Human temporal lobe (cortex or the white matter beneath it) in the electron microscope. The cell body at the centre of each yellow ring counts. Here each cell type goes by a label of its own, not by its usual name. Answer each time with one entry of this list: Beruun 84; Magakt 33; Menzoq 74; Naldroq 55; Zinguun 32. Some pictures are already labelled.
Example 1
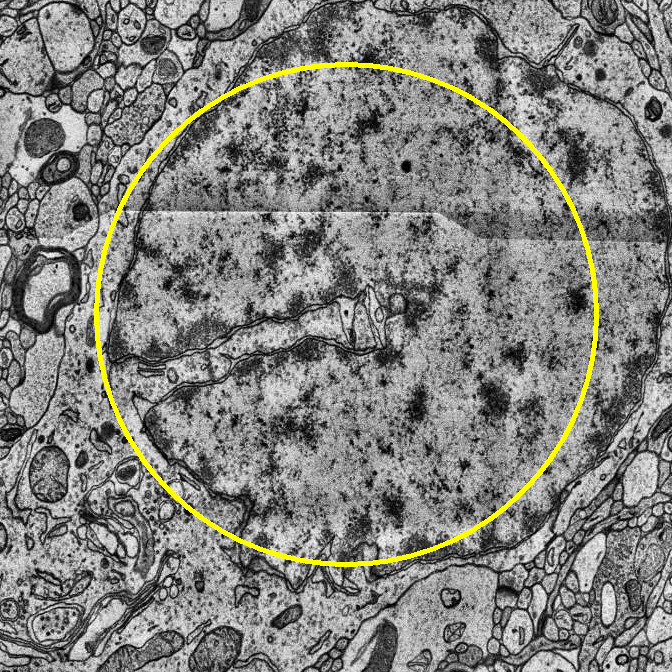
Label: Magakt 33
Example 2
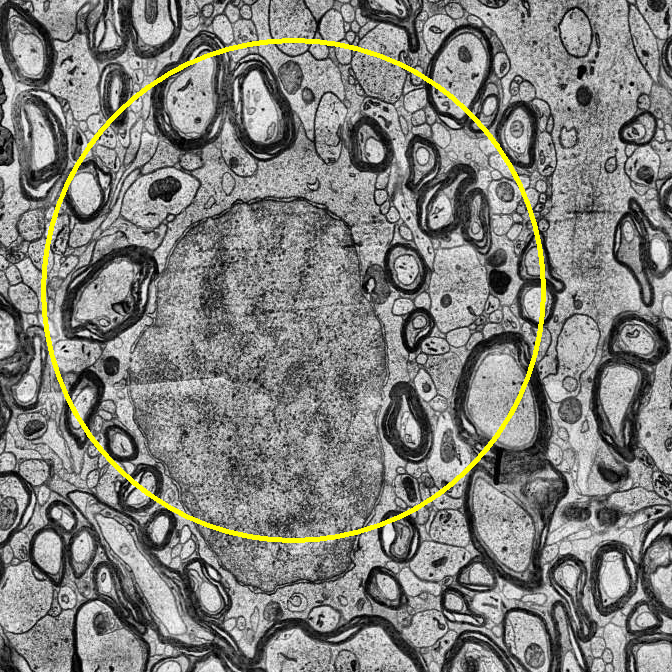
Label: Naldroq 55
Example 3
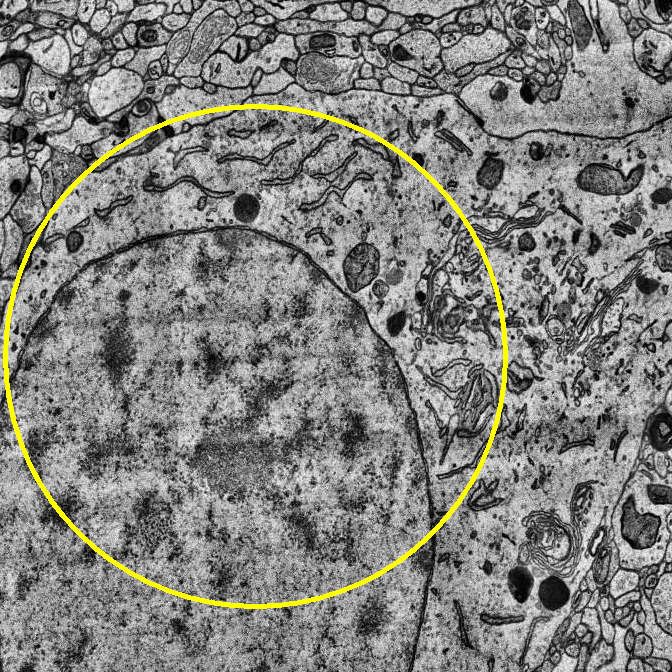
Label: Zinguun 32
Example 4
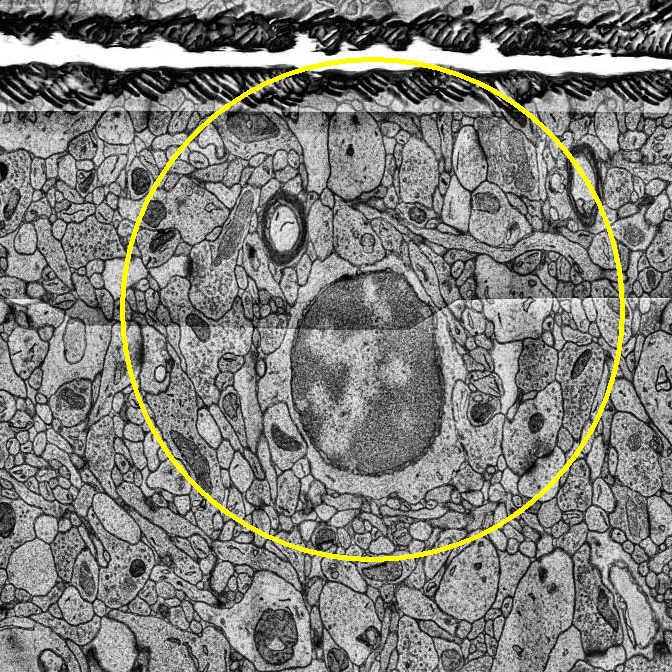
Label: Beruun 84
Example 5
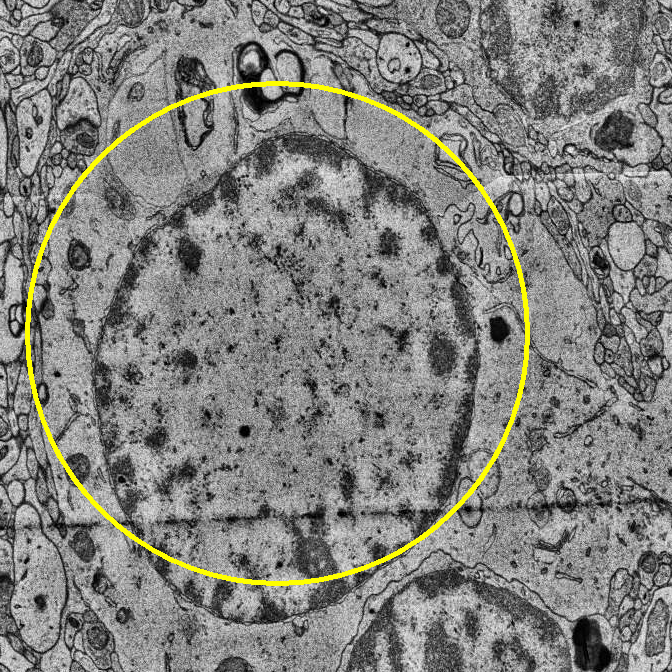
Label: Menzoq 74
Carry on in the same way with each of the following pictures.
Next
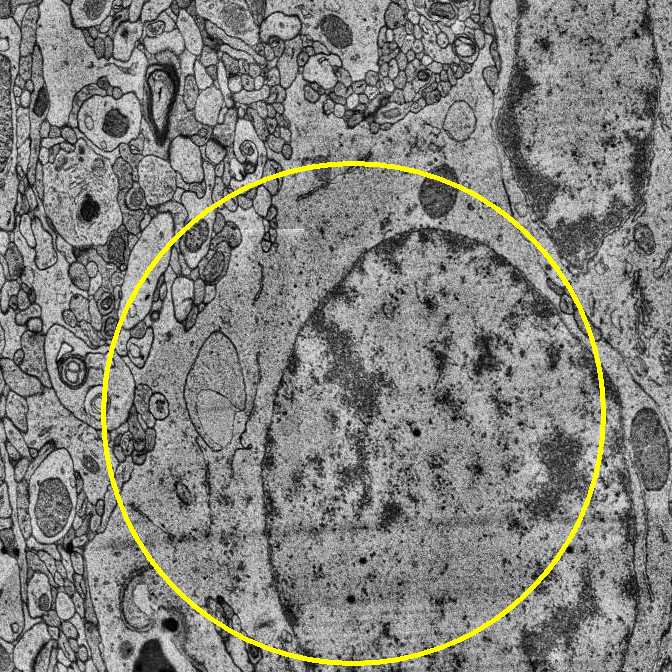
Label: Menzoq 74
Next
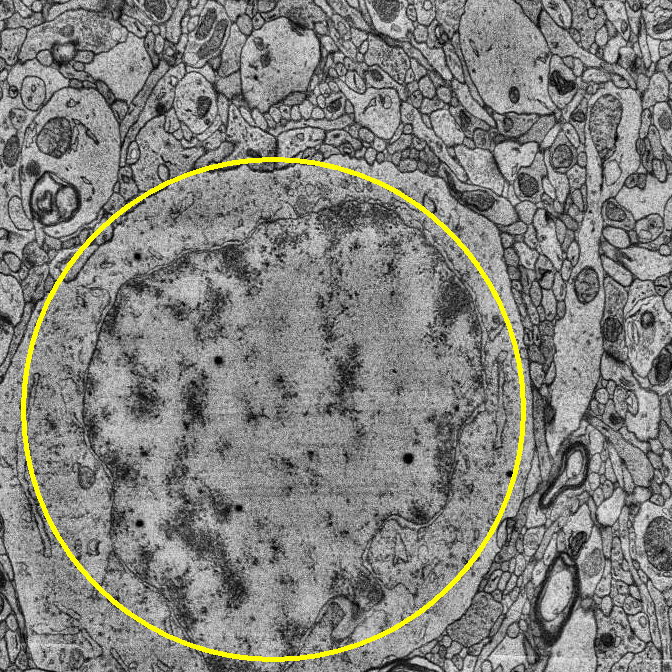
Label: Magakt 33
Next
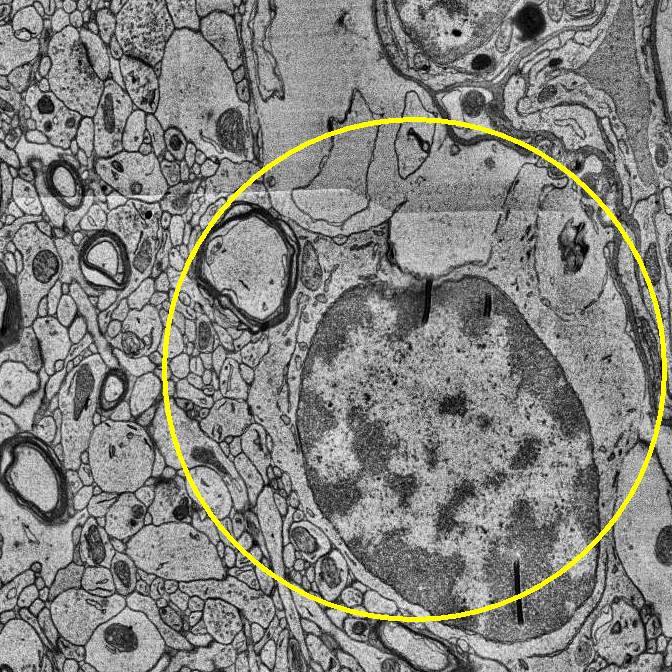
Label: Beruun 84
